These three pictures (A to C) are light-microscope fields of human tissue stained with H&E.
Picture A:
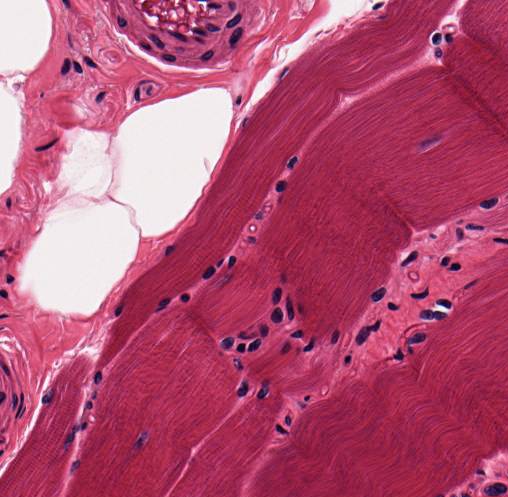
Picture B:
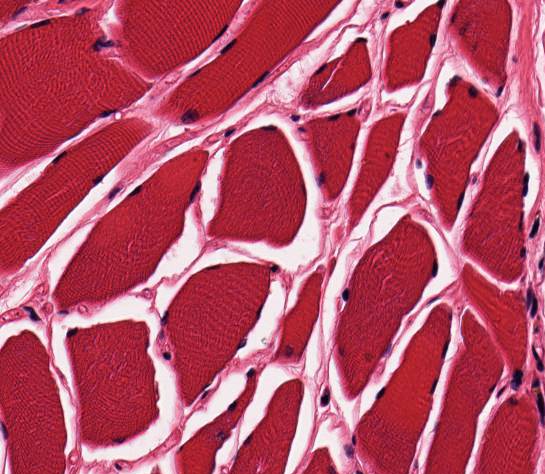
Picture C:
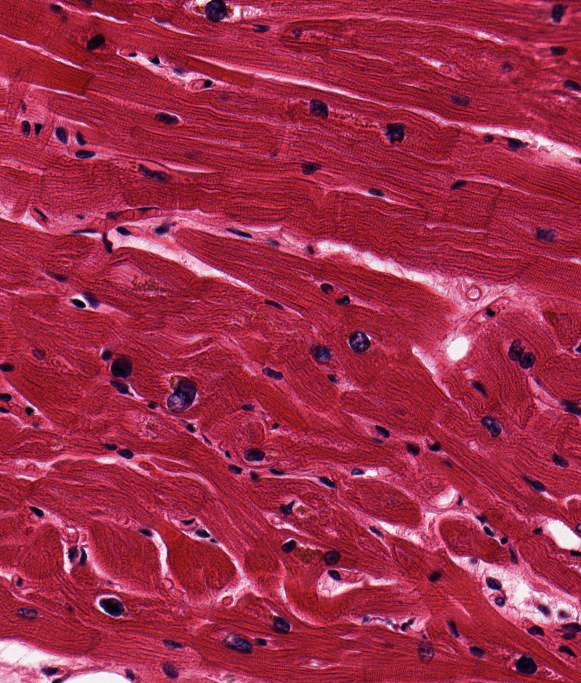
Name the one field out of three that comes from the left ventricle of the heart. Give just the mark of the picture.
C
